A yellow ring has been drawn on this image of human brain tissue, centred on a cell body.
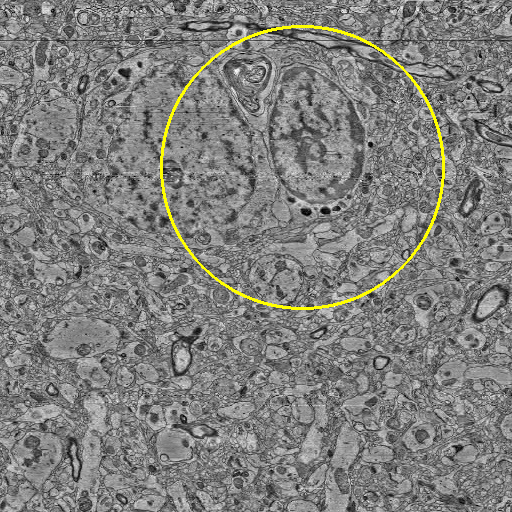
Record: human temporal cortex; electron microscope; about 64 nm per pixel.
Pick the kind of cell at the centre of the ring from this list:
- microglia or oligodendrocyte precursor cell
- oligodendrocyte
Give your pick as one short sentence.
The centre of the ring holds a microglial cell or oligodendrocyte precursor cell.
